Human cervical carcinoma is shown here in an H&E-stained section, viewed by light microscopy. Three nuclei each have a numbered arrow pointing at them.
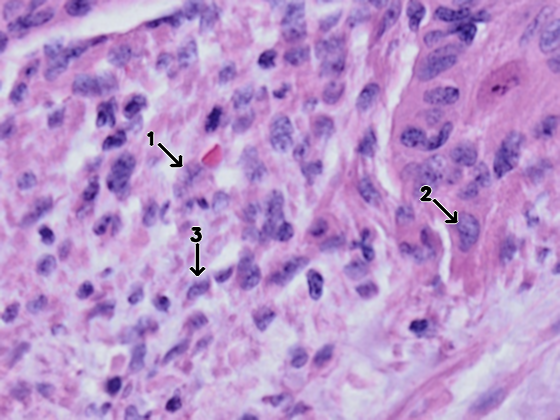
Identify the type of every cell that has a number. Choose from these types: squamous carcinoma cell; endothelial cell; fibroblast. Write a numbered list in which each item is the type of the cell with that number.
1. endothelial cell
2. squamous carcinoma cell
3. fibroblast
